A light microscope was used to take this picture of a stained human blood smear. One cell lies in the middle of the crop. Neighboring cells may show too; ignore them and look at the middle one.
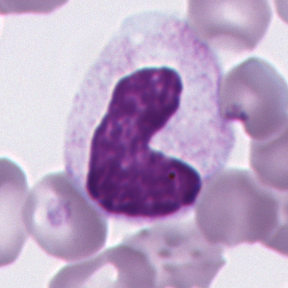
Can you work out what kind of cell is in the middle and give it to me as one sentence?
The cell at the middle of the frame should be recorded as a band neutrophil.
